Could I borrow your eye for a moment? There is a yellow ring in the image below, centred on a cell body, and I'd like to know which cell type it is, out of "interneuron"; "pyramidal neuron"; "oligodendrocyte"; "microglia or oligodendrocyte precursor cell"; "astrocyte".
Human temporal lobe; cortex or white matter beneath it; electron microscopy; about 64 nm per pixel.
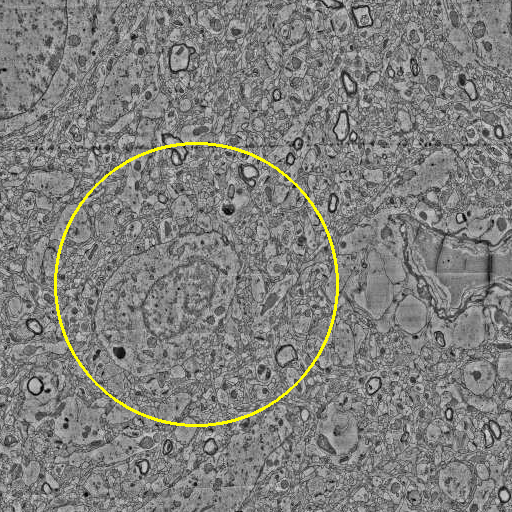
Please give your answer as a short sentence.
The cell body at the centre is that of an interneuron.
